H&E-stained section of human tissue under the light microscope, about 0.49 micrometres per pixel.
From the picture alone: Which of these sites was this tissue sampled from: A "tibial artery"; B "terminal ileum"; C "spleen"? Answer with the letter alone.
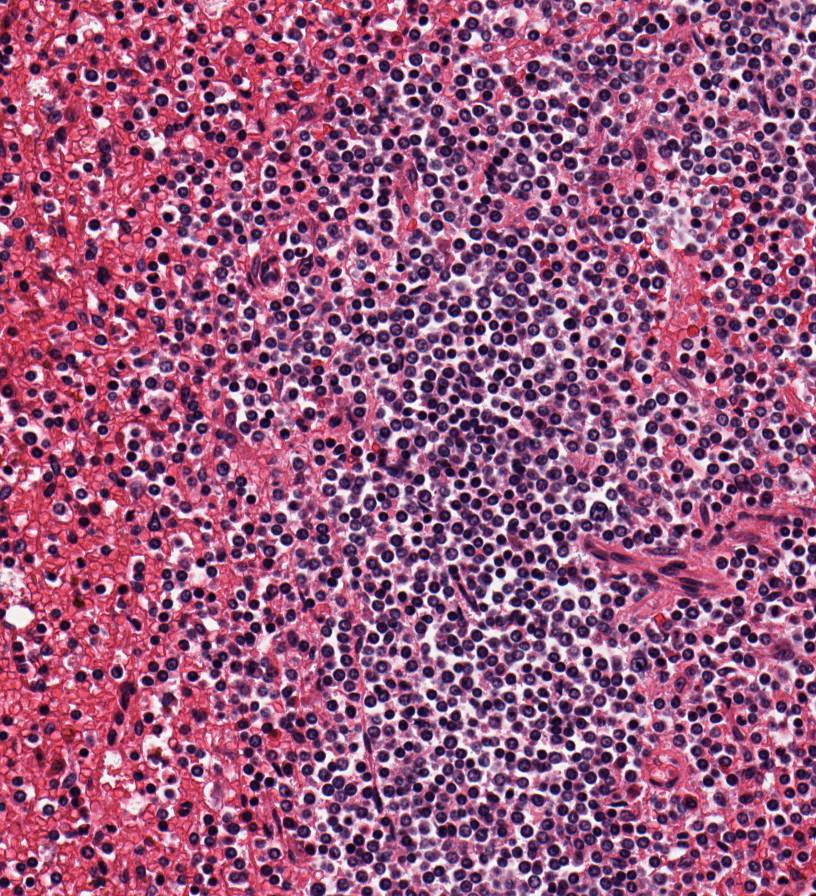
C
